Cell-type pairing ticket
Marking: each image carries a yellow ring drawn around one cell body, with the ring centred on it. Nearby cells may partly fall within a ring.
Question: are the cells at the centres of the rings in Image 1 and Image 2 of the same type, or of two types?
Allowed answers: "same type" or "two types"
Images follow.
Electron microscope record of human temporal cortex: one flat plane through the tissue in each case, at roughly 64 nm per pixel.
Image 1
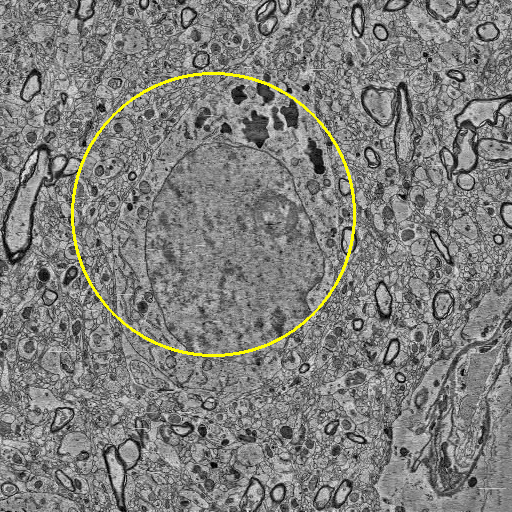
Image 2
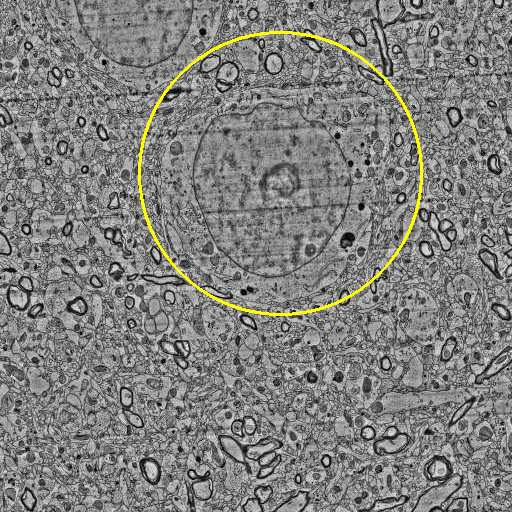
two types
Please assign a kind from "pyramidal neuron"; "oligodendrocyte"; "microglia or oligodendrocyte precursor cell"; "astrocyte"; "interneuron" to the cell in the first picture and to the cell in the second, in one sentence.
In the first picture we have an interneuron, and in the second, a pyramidal neuron.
